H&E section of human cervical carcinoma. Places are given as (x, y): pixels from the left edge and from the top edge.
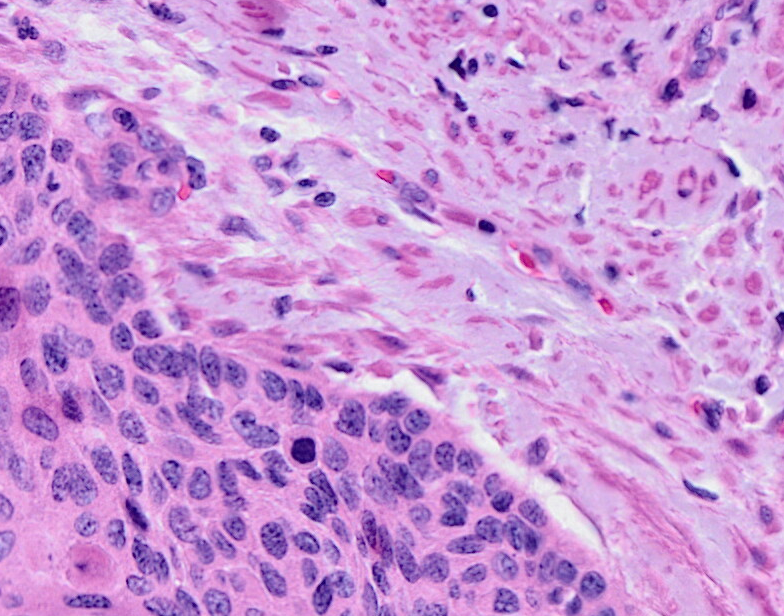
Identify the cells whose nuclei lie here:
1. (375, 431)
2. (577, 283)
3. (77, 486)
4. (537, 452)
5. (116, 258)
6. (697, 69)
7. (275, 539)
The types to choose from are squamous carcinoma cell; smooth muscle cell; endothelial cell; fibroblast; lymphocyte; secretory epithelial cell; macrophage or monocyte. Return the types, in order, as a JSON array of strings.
["squamous carcinoma cell", "endothelial cell", "squamous carcinoma cell", "macrophage or monocyte", "squamous carcinoma cell", "endothelial cell", "squamous carcinoma cell"]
